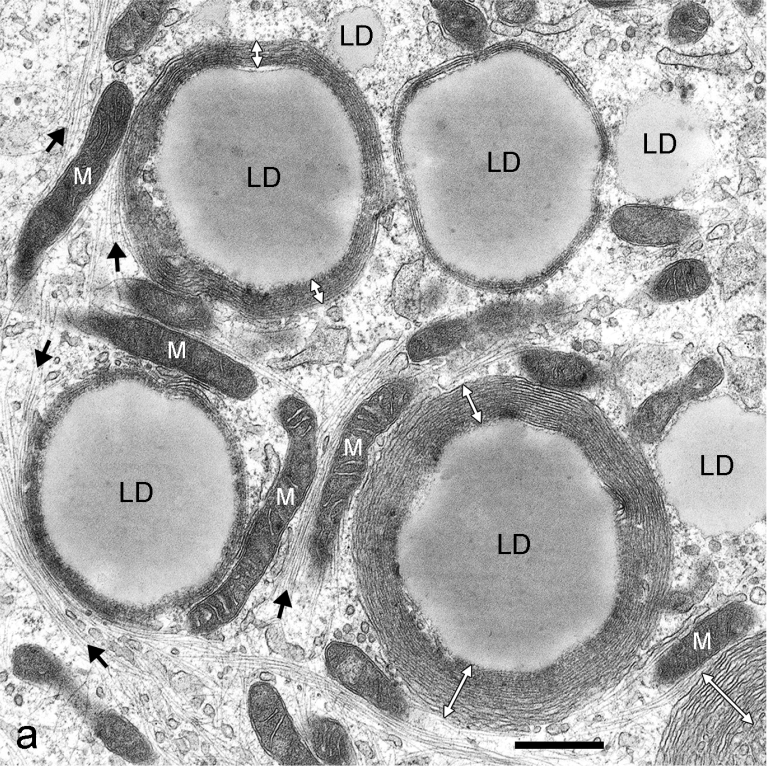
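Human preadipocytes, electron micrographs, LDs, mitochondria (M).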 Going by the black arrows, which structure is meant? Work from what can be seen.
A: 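Fine, long, parallel thread-like strands run through the cytoplasm between the organelles. The strands sweep around mitochondria and droplets. The answer: meshwork of filaments.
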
